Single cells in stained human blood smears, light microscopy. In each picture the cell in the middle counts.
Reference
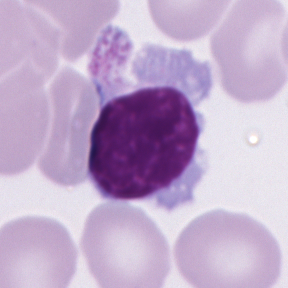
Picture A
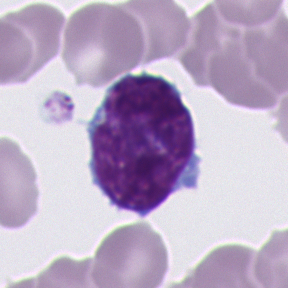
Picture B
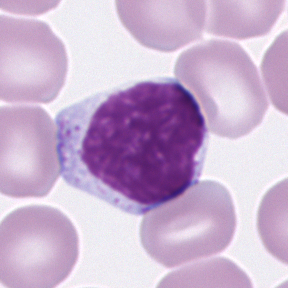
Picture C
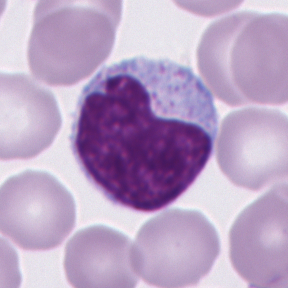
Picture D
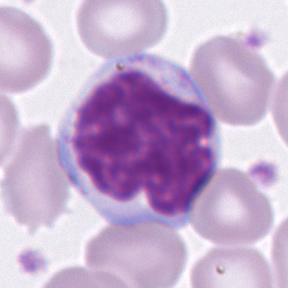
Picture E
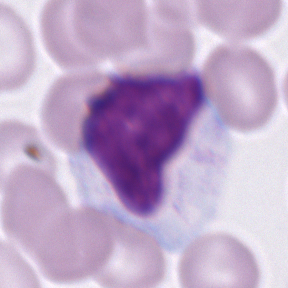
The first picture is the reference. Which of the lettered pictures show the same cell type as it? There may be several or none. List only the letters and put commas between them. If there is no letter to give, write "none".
B, C, D, E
